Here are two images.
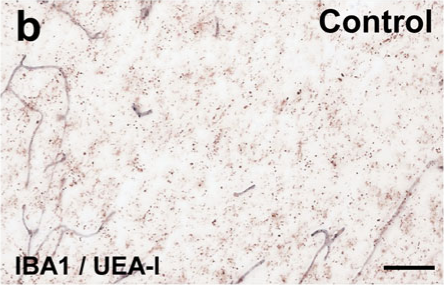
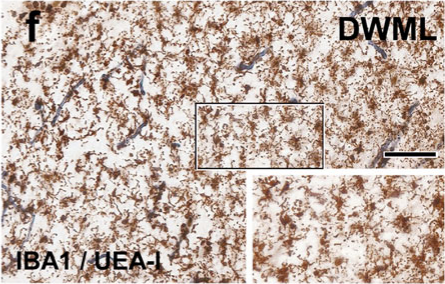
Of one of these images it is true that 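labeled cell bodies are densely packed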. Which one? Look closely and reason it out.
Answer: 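The second image. Second image: brown cells with thick processes fill the whole field. First image: only fine brown dots and thin processes, few distinct cell bodies.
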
